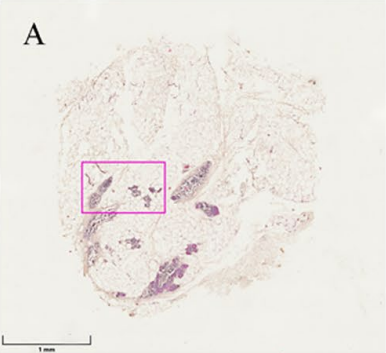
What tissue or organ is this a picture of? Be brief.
adipose tissue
